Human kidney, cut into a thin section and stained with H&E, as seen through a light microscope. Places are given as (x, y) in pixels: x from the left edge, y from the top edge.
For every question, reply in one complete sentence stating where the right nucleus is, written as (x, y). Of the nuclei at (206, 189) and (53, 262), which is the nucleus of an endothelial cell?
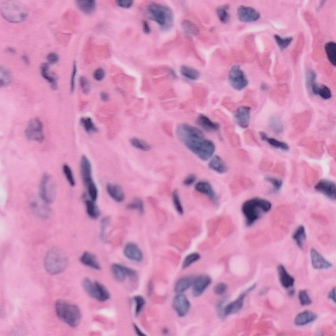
The nucleus at (206, 189) is attributed to an endothelial cell, unlike the other nucleus.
